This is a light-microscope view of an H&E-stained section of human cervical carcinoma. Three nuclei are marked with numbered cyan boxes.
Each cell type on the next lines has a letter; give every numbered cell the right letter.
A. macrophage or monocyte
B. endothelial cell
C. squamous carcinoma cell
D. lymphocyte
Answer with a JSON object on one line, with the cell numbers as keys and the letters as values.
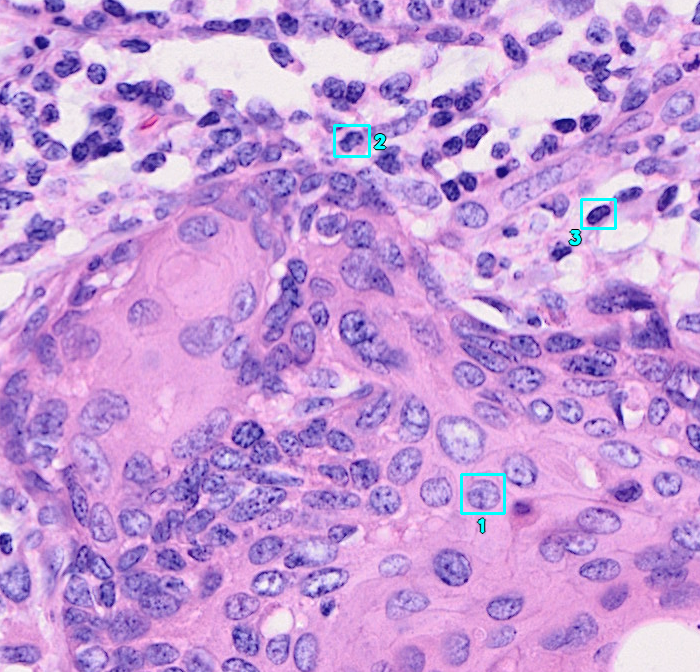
{"1": "C", "2": "D", "3": "D"}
